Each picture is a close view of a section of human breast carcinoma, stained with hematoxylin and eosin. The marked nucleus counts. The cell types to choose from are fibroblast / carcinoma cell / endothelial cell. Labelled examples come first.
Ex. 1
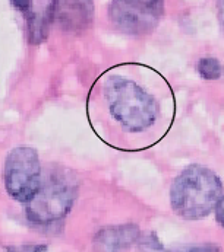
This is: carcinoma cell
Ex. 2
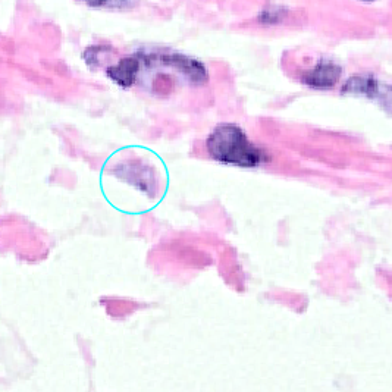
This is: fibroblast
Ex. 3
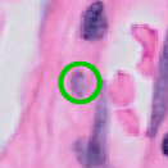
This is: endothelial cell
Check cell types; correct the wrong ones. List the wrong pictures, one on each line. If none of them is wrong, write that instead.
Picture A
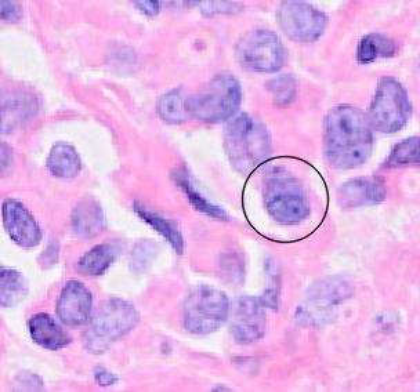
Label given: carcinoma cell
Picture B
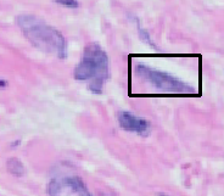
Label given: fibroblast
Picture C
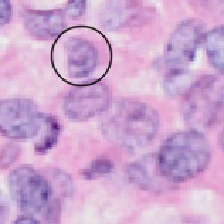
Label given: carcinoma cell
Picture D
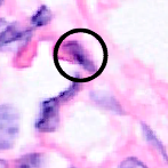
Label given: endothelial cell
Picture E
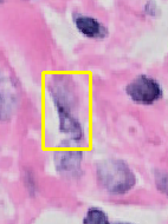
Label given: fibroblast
Nothing to fix; every label fits.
